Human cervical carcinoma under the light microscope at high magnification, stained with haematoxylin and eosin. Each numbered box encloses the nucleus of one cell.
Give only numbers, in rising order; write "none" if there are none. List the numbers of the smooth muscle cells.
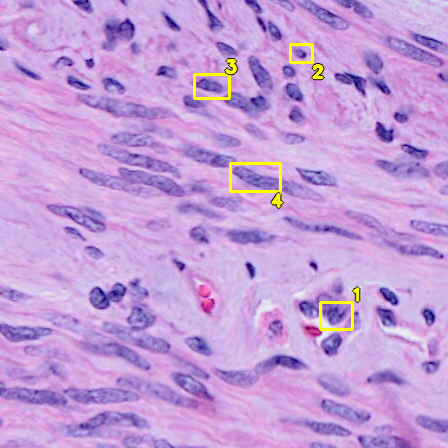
2, 3, 4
